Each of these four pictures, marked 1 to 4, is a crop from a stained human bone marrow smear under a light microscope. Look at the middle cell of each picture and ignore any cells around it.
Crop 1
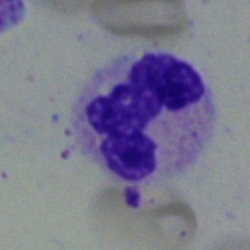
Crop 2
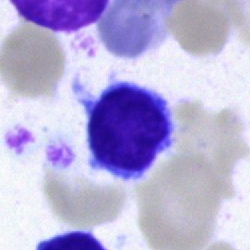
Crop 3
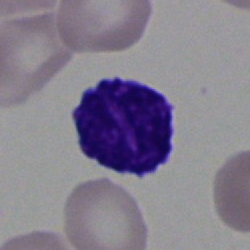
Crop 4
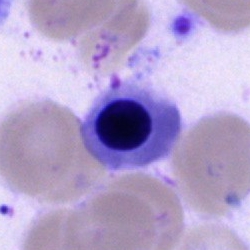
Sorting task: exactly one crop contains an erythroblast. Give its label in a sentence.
Crop 4 represents an erythroblast, while the other crops do not.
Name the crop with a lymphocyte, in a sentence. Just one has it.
In this series, a lymphocyte is shown by crop 2.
